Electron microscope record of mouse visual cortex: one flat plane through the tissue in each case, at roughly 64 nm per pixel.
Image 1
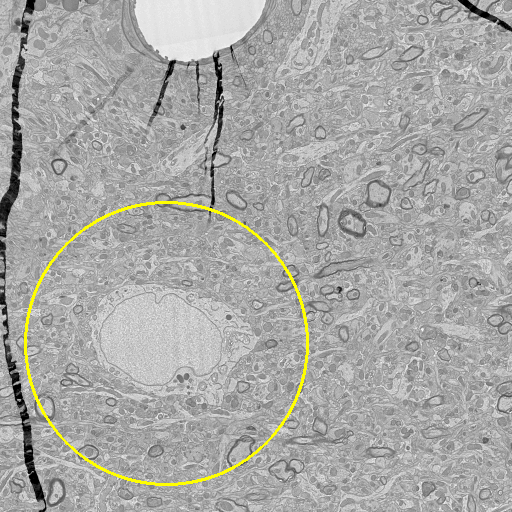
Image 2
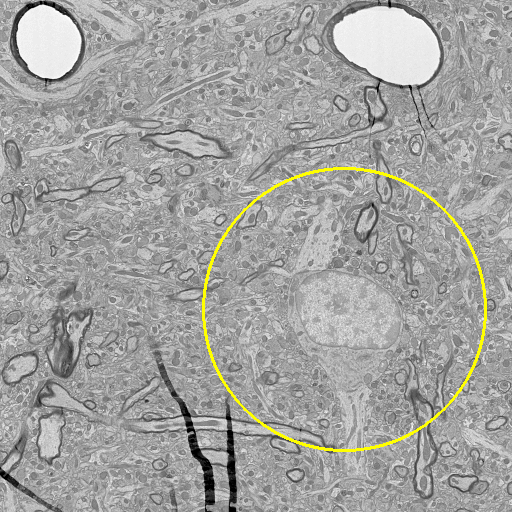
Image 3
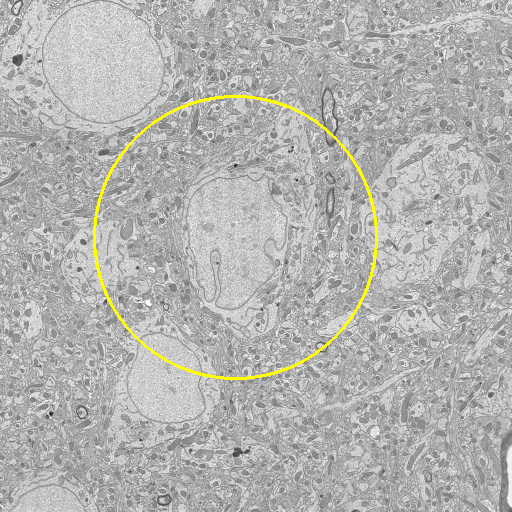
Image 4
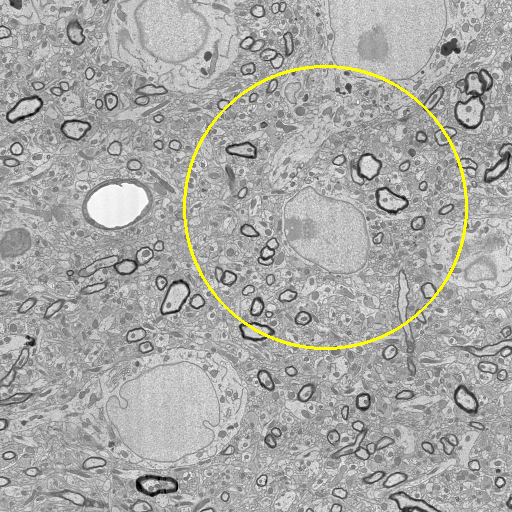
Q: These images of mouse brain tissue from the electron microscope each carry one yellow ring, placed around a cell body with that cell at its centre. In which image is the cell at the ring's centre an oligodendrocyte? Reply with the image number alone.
2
